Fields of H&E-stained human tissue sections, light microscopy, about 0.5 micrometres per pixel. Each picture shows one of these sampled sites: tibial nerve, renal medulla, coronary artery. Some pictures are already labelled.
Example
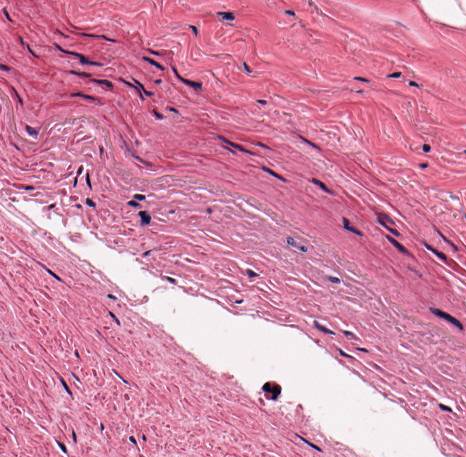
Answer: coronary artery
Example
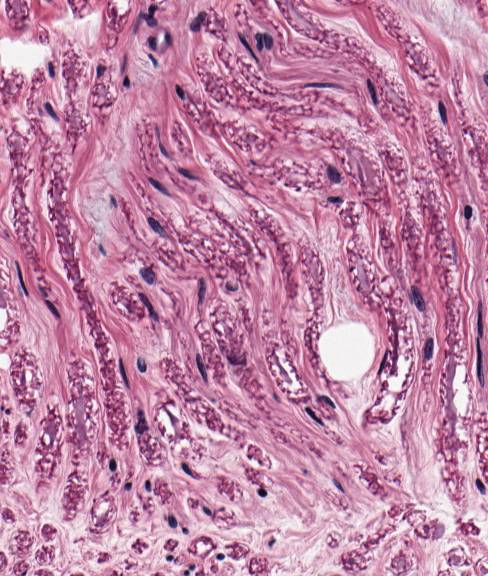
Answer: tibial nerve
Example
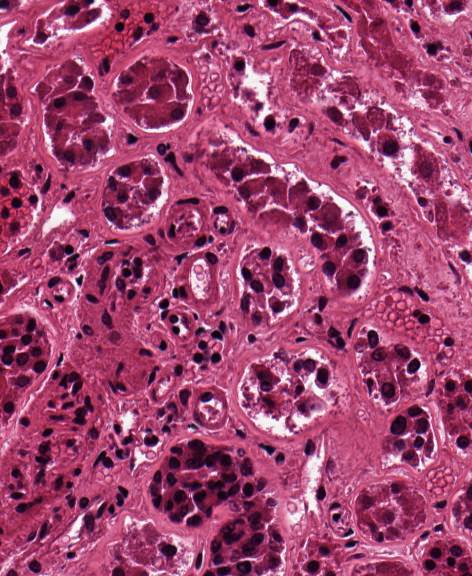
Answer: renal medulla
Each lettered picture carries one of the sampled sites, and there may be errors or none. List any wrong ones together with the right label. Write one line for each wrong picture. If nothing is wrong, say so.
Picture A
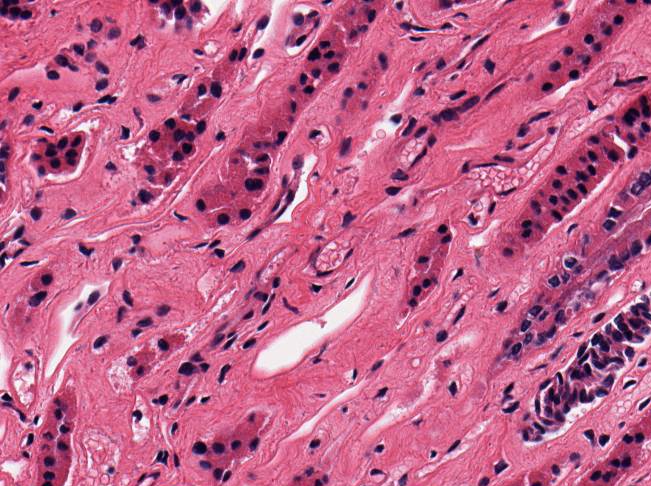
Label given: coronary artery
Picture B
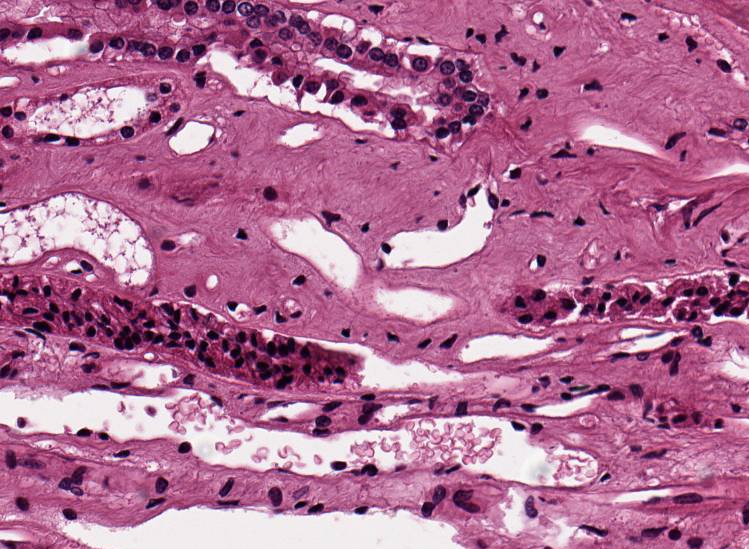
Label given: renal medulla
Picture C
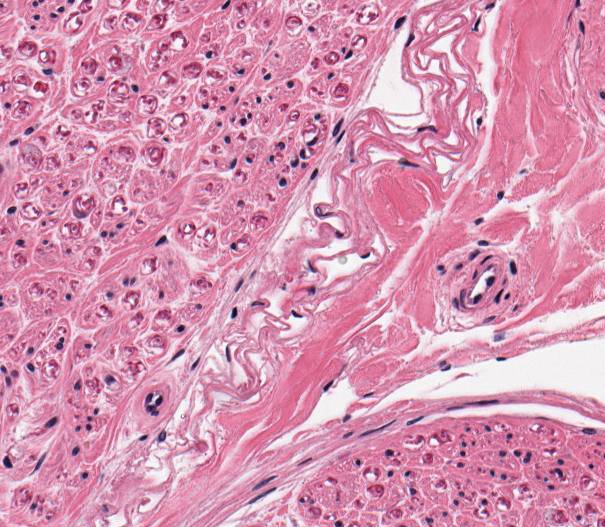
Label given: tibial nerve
Wrong: A (coronary artery); correct: renal medulla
